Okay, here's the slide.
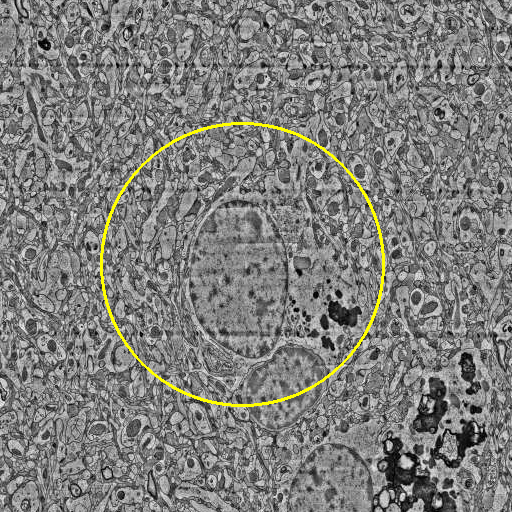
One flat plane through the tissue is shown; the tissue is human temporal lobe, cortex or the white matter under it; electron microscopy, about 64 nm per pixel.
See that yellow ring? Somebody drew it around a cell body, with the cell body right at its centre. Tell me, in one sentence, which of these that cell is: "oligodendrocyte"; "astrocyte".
The cell in the middle of the ring is an astrocyte.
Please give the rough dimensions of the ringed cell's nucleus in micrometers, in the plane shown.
In this plane the nucleus measures roughly 9 by 7 micrometers.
